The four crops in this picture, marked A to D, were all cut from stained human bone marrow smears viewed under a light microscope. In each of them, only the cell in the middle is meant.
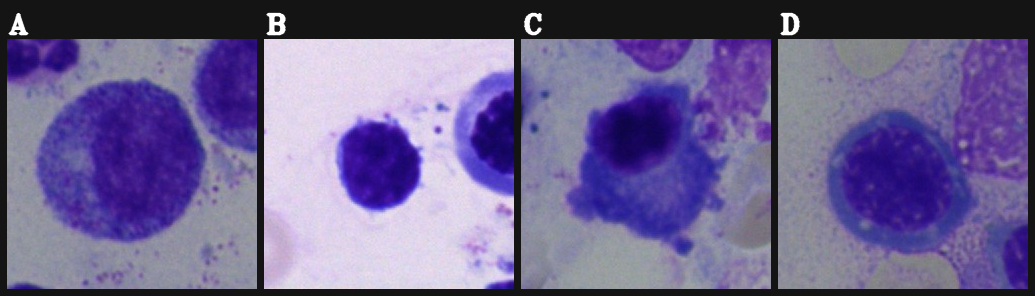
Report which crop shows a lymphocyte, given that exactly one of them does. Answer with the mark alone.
B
